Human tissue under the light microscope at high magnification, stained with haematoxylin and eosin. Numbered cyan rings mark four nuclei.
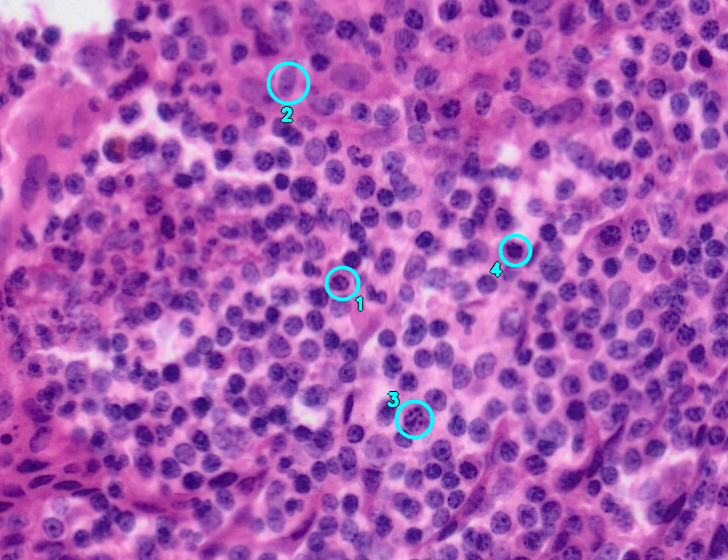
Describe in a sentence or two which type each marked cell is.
Cell 1 is a plasma cell, cell 2 is a squamous epithelial cell, cell 3 is a plasma cell and cell 4 is a plasma cell.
